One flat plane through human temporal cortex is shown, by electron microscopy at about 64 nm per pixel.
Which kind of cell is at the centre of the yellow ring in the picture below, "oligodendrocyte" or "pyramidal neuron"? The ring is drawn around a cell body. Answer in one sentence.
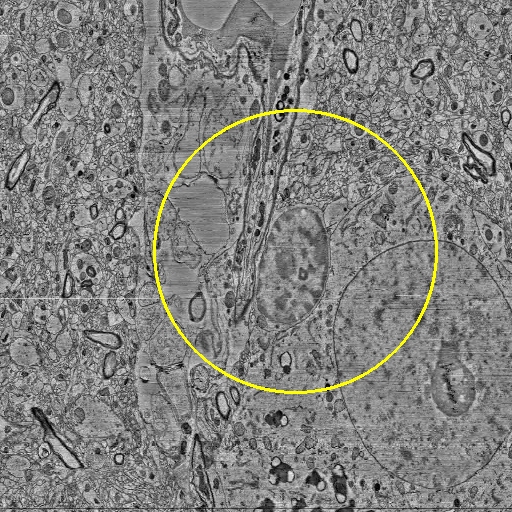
The ring's central cell is an oligodendrocyte.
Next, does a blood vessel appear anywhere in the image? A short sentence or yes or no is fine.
Yes, a blood vessel is present in this picture.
